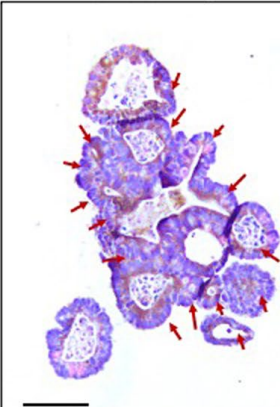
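This is a section of an epithelial organoid showing many crypt-like buds. A central branching lumen is also visible. Some cells show brownish granular cytoplasm near the luminal surface. Small detached rounded fragments lie at the periphery of the section.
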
